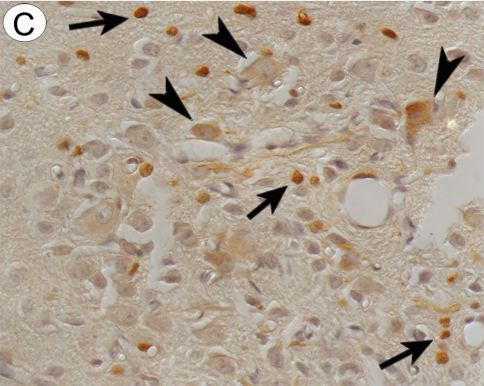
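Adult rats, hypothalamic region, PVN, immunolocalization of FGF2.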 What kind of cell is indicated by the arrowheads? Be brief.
neurons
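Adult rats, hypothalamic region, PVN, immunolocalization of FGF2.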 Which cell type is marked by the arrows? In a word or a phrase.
astrocytes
